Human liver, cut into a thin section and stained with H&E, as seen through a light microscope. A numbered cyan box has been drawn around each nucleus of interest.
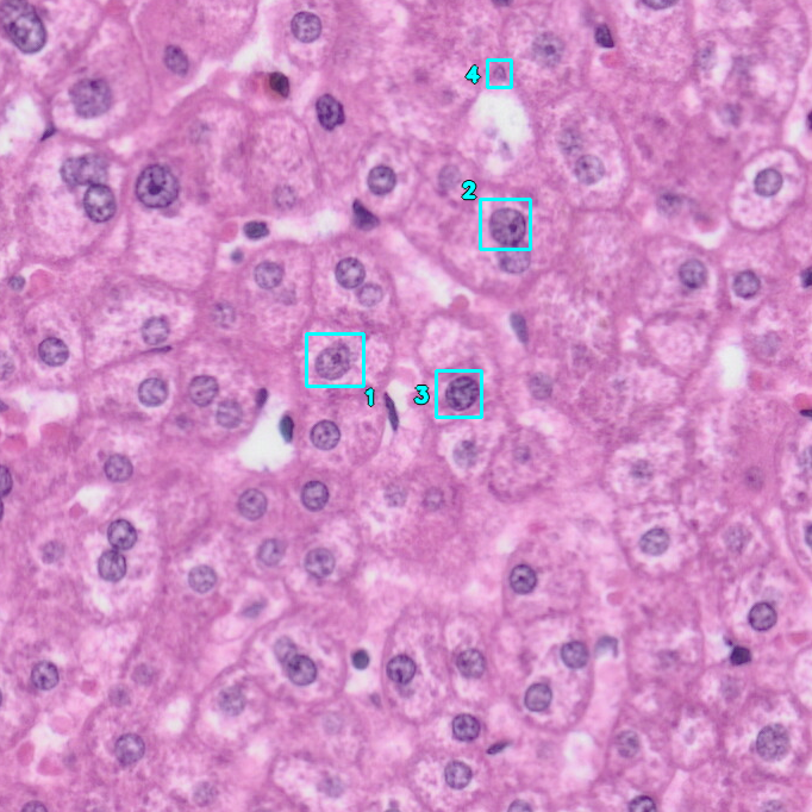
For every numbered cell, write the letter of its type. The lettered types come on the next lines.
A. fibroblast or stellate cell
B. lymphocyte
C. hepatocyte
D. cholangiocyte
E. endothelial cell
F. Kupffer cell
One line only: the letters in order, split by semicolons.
C; C; C; A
